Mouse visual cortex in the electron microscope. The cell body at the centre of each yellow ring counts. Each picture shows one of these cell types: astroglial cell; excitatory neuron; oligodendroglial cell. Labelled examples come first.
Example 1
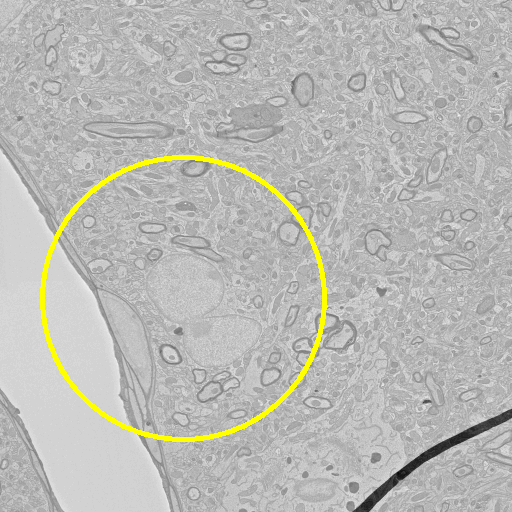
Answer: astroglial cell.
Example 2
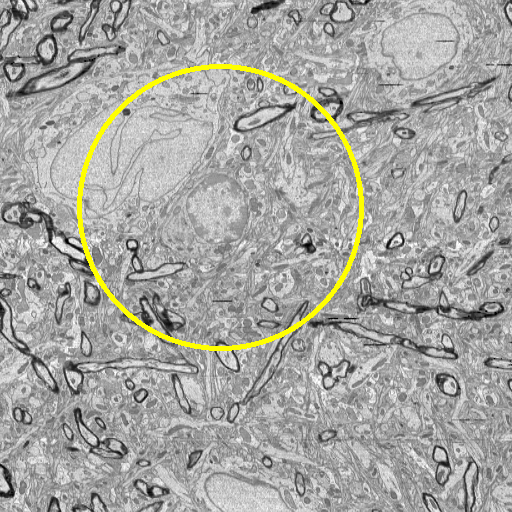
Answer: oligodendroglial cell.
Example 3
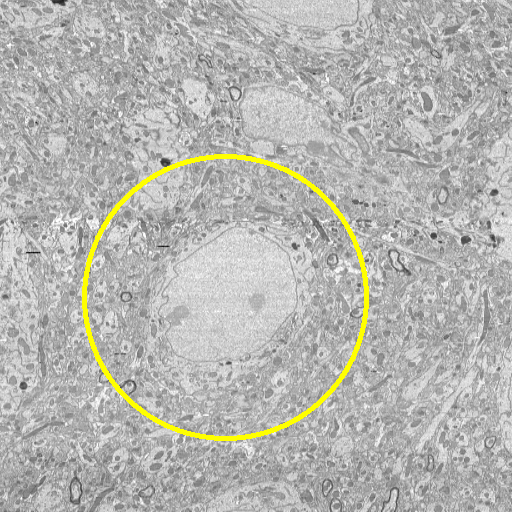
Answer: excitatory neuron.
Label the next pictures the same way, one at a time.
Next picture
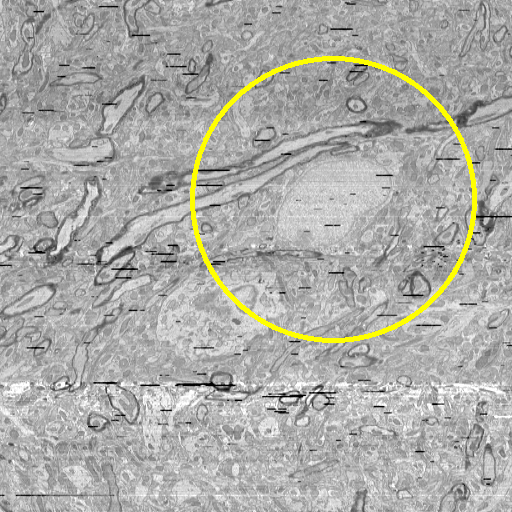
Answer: astroglial cell.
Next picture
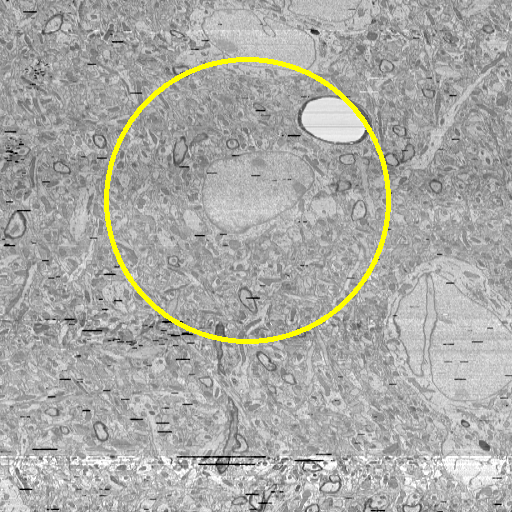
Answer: astroglial cell.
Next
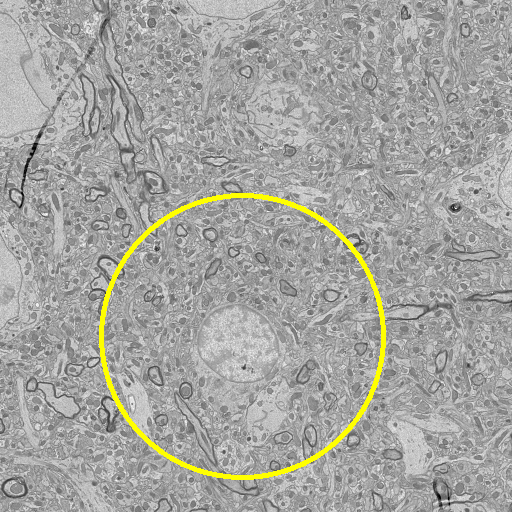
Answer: oligodendroglial cell.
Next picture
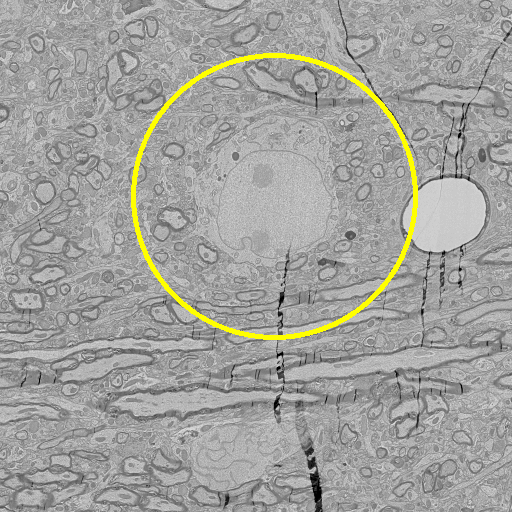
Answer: excitatory neuron.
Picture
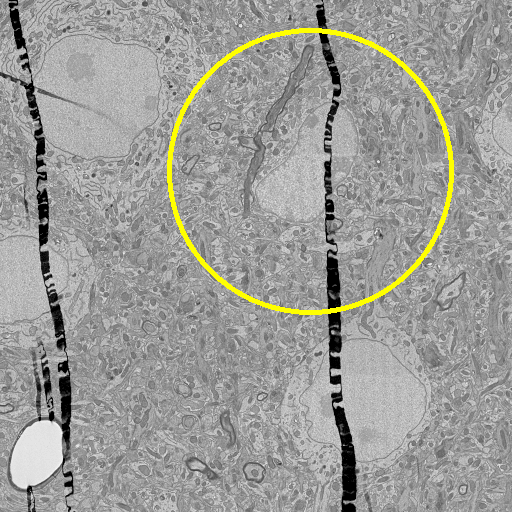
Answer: astroglial cell.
